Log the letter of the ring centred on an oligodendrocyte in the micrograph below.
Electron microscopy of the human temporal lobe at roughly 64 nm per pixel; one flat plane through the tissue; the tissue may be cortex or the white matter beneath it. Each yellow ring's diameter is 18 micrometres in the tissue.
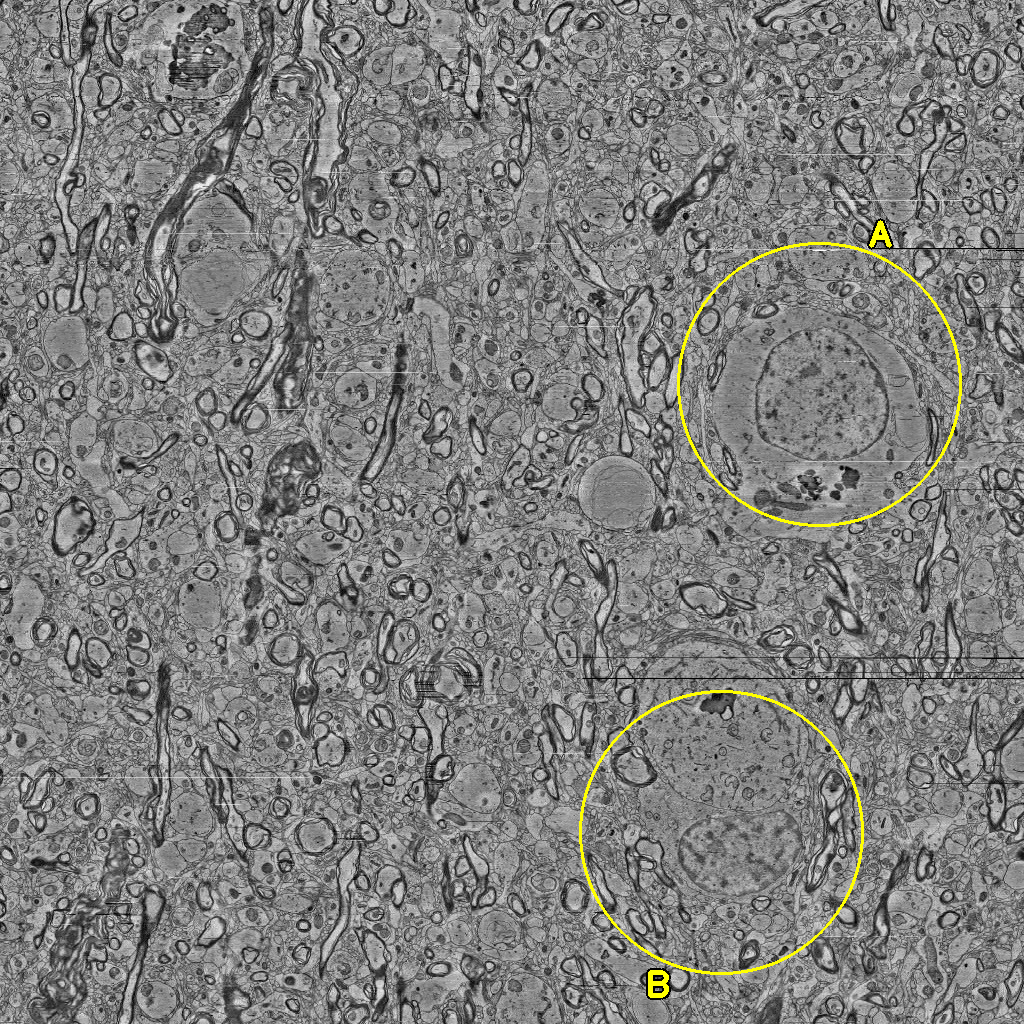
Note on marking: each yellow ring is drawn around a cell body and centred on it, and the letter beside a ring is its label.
B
